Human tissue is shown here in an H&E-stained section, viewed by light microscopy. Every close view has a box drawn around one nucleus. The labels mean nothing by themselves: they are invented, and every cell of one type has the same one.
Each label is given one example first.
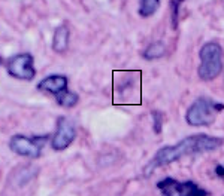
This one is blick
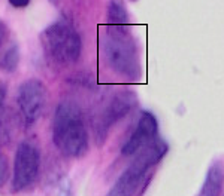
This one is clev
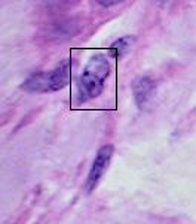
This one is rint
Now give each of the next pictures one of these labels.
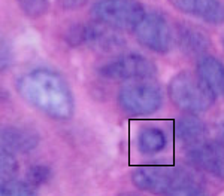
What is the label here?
rint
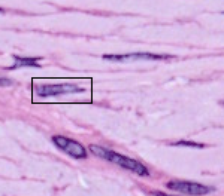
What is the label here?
blick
